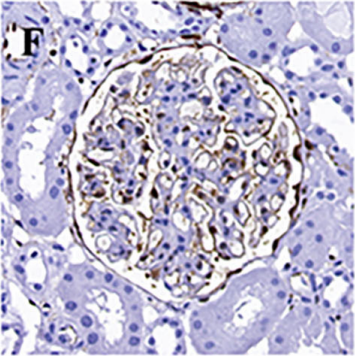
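A glomerulus sits in the centre, surrounded by cross-sections of tubules lined by cuboidal epithelium with round blue nuclei. The glomerular tuft shows open capillary loops with many blue nuclei between them. Brown stain traces the capillary walls thinly and outlines the surrounding capsule. The tubular epithelium is essentially unstained pale blue.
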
